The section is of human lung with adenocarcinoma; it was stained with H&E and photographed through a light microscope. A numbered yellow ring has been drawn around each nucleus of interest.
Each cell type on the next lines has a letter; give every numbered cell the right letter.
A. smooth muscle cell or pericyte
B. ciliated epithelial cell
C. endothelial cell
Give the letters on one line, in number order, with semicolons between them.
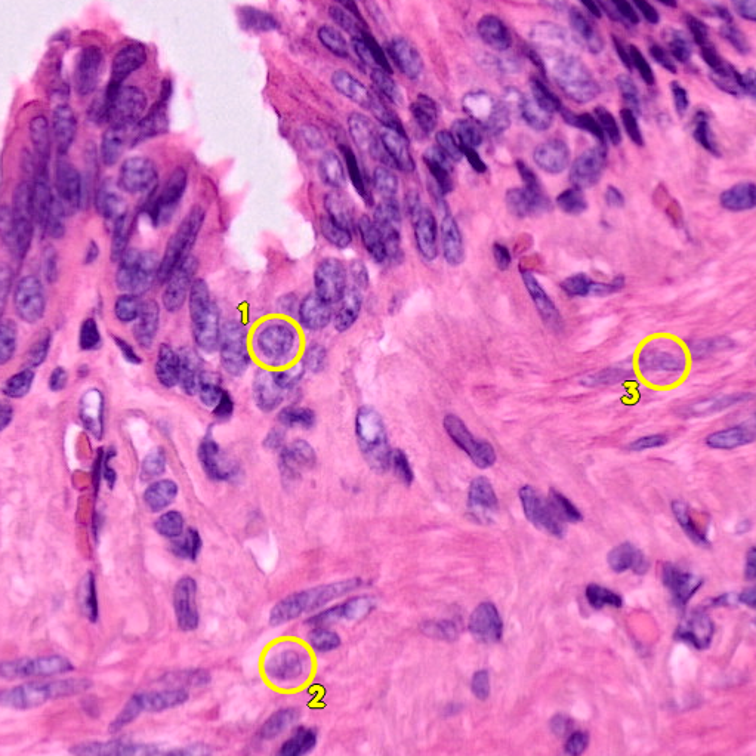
B; A; A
